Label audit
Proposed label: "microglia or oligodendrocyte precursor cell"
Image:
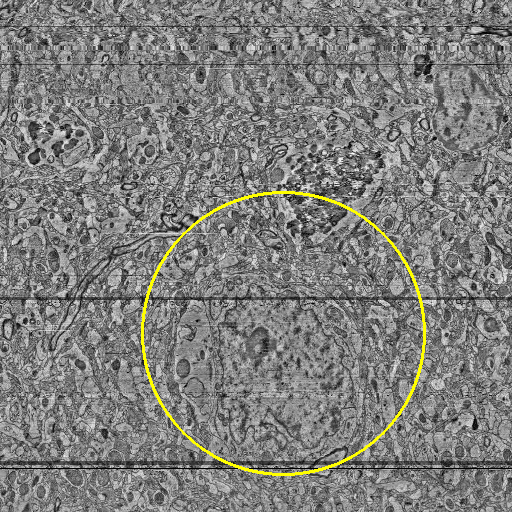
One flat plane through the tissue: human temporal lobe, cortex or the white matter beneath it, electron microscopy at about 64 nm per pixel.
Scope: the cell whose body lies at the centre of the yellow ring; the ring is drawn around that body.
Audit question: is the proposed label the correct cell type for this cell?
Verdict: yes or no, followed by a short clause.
No, this cell is of another type.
